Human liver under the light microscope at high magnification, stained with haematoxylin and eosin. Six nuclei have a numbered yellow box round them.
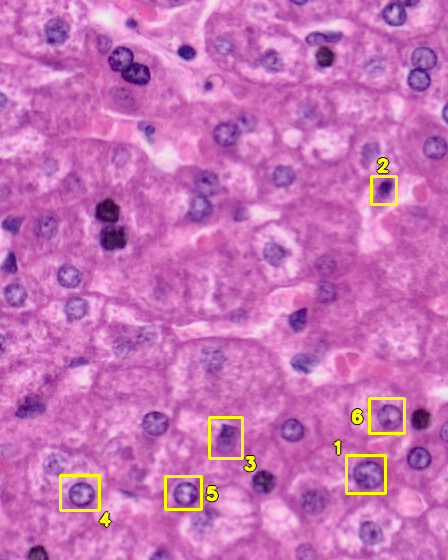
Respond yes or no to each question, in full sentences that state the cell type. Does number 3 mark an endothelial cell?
Yes, kindly take note: the cell numbered 3 is an endothelial cell.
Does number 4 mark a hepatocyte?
Yes, number 4 is assigned to a cell that is a hepatocyte.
